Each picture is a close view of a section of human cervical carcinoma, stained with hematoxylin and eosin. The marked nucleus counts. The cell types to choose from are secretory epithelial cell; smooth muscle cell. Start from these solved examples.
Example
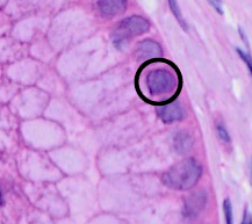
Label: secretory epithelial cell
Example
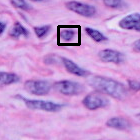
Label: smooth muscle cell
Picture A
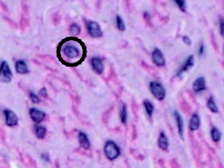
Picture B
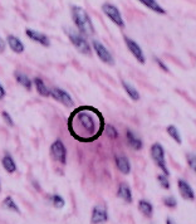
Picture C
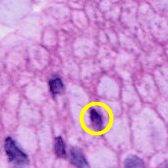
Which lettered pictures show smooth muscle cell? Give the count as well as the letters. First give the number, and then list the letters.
Count: 2 (A, B)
